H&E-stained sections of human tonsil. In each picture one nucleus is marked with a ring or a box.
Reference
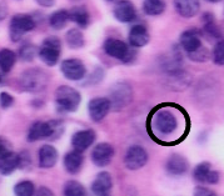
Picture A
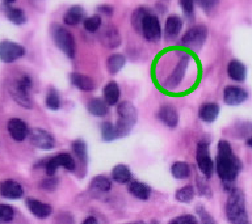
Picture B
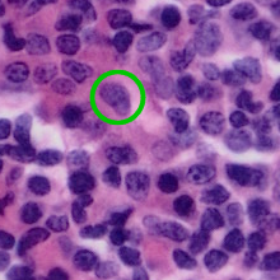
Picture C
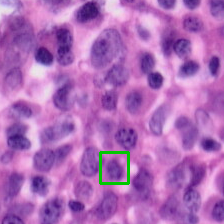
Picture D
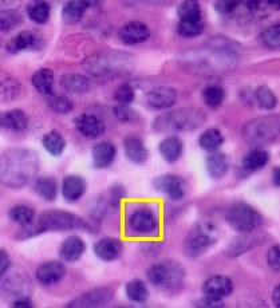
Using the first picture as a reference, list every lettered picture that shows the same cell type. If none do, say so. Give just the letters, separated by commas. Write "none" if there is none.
A, B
